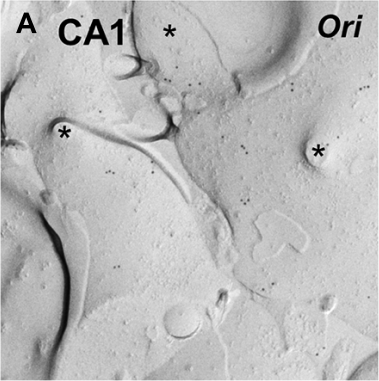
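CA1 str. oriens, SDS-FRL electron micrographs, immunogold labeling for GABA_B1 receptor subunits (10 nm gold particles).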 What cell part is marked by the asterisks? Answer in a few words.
Spines and fractured spine necks.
